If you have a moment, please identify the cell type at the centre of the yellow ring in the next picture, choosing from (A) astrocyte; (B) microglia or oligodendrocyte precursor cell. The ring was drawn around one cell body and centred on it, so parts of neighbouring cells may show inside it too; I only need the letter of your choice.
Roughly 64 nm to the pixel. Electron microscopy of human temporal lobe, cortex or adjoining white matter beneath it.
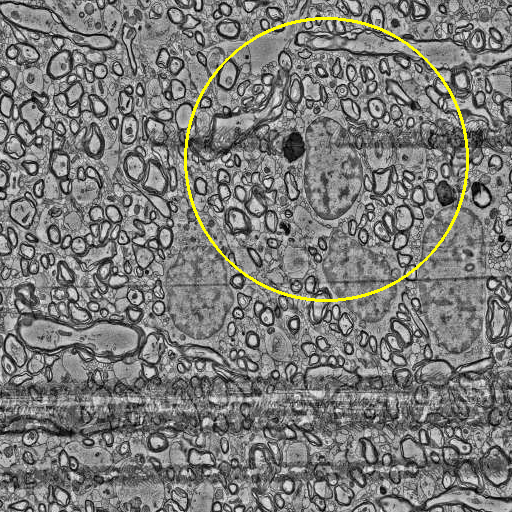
B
